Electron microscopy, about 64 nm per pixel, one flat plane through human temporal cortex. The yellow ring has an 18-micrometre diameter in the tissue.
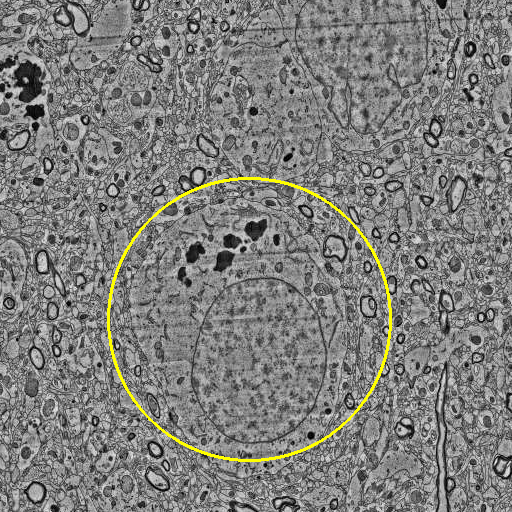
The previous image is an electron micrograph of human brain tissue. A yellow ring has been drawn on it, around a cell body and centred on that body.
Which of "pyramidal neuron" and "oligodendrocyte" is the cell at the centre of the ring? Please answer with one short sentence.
The cell body at the centre of the ring belongs to a pyramidal neuron.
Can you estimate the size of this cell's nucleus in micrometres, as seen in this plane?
Approximately 11 micrometres long and 9 micrometres wide, in this plane.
